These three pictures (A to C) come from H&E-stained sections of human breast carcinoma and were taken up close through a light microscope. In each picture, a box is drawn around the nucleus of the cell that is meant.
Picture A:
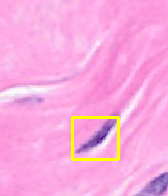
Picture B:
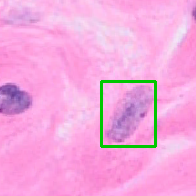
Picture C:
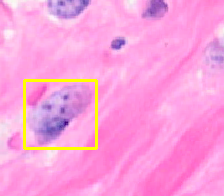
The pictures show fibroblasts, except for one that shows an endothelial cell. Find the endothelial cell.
C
